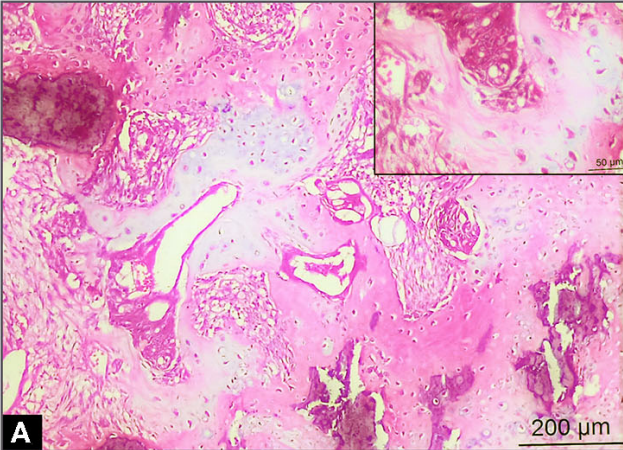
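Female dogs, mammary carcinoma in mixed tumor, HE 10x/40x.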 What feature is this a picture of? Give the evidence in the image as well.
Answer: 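Cartilage. Broad pale pink to lilac homogeneous matrix. Small cells sit singly in lacunae within the matrix.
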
